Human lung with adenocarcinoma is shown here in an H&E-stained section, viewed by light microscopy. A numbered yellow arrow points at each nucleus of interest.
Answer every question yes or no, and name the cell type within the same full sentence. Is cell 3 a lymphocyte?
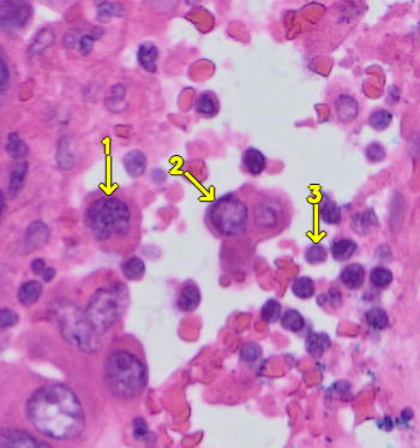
Yes, in this tissue section, number 3 is a lymphocyte.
